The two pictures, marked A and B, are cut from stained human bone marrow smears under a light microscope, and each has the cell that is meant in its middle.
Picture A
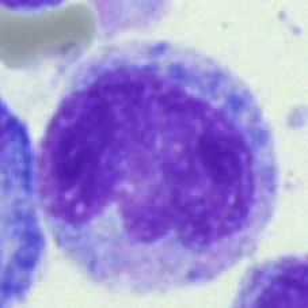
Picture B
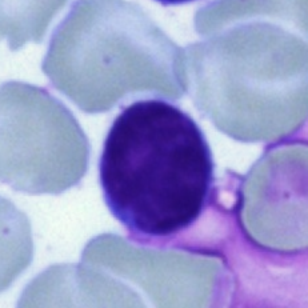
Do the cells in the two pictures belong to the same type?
no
